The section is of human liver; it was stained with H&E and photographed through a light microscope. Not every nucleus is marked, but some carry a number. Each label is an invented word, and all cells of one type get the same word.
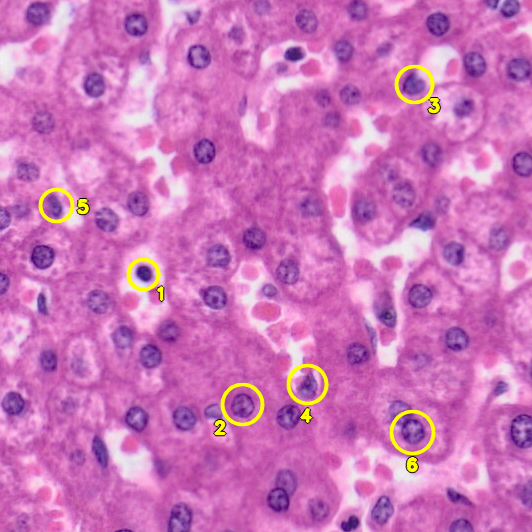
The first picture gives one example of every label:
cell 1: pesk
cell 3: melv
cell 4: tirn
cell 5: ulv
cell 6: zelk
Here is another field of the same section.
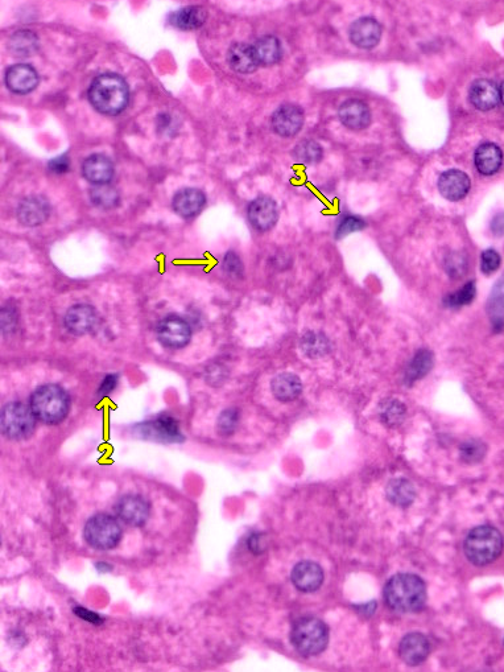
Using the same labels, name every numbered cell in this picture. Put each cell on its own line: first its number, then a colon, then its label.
1: ulv
2: melv
3: tirn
